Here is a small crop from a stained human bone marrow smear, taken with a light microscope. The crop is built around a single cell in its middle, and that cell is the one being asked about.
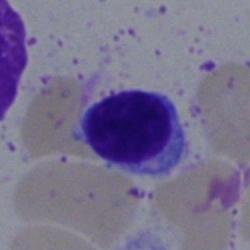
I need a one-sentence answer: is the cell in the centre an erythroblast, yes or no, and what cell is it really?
No, this is not an erythroblast at all; the cell in the middle is a lymphocyte.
